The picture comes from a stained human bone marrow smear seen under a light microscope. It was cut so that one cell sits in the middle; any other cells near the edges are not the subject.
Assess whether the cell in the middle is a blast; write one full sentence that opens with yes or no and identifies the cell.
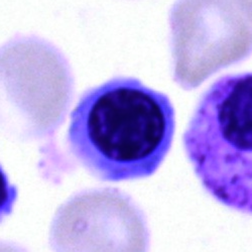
No, sorry, the middle cell is an erythroblast rather than a blast.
